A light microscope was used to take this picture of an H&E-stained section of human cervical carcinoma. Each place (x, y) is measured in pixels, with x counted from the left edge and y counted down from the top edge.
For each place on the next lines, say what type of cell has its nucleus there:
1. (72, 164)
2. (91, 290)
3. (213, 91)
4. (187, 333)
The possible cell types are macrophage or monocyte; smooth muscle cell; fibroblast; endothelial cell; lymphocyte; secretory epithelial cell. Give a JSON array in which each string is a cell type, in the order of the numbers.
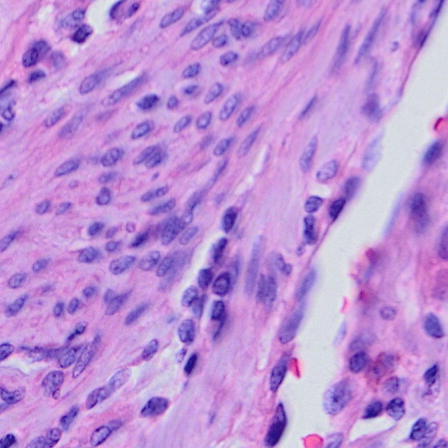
["smooth muscle cell", "smooth muscle cell", "smooth muscle cell", "lymphocyte"]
